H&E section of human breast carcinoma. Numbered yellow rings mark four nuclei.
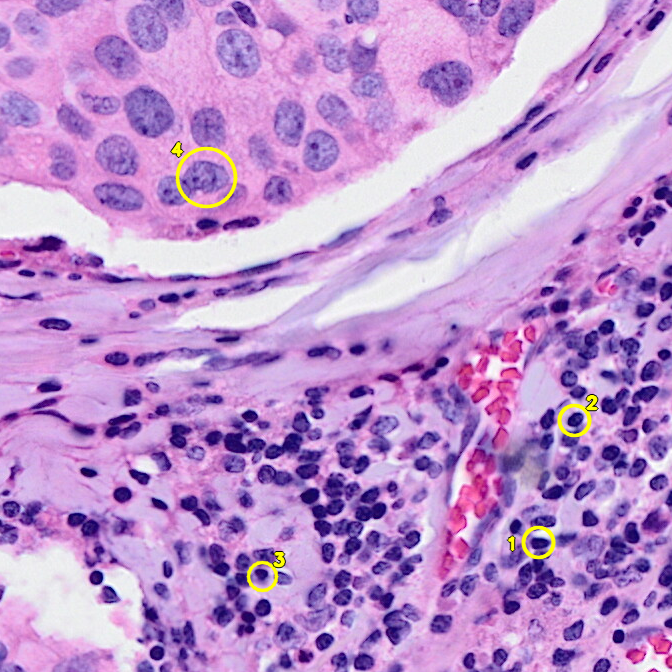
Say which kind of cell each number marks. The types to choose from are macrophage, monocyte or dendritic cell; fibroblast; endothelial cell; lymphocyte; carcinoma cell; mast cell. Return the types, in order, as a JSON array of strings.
["lymphocyte", "lymphocyte", "lymphocyte", "carcinoma cell"]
